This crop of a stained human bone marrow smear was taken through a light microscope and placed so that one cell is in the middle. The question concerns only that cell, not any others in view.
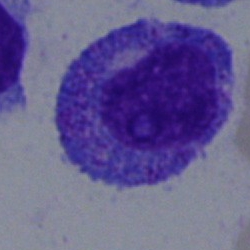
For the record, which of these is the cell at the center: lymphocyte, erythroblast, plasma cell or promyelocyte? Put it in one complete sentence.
Of the cells in this crop, the central one is a promyelocyte.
